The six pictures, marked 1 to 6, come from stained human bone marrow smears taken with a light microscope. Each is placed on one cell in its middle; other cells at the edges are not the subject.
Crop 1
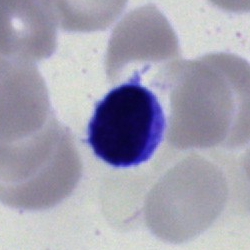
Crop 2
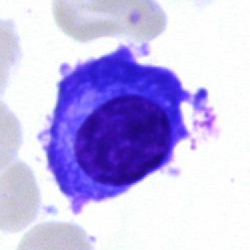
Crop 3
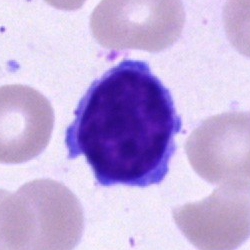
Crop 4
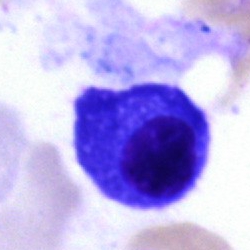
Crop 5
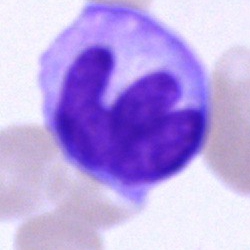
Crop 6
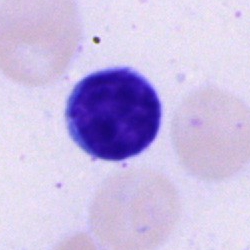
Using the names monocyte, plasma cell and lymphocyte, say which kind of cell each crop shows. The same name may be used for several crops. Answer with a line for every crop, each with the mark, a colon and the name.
1: lymphocyte
2: plasma cell
3: lymphocyte
4: plasma cell
5: monocyte
6: lymphocyte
